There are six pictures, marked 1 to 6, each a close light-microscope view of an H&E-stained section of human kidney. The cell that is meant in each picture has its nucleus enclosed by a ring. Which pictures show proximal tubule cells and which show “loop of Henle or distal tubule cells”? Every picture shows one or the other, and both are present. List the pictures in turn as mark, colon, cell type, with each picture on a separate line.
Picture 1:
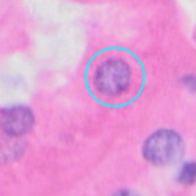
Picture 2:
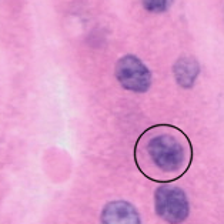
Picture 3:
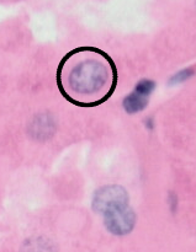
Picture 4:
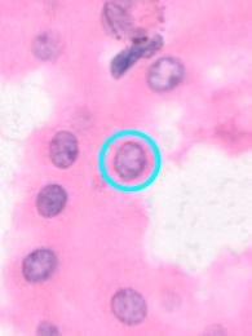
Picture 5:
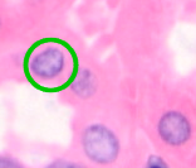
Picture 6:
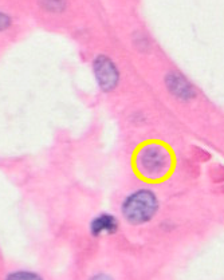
1: proximal tubule cell
2: proximal tubule cell
3: proximal tubule cell
4: proximal tubule cell
5: loop of Henle or distal tubule cell
6: loop of Henle or distal tubule cell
